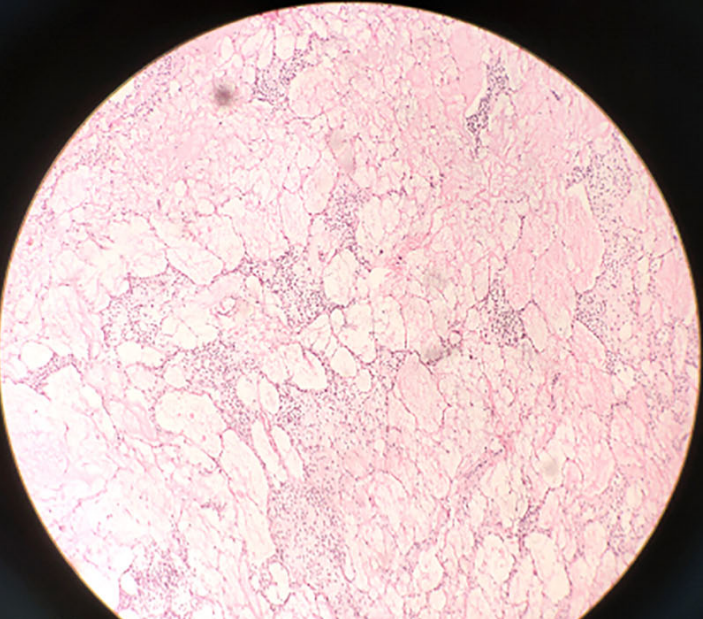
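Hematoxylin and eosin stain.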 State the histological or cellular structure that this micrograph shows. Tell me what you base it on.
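Dilated lymphatic vessels. Many rounded to irregular open spaces fill the field. The spaces vary widely in size. The spaces hold pale pink material and few or no red cells. Thin septa with small dark nuclei separate the spaces.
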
